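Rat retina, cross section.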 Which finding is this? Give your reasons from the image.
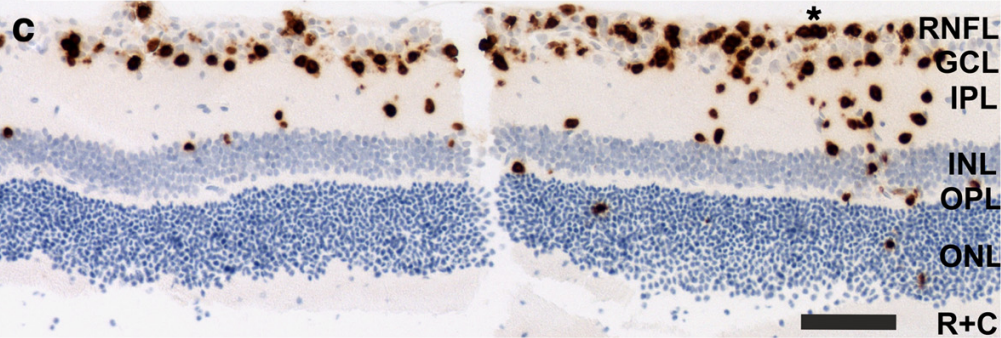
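Brown cells are most numerous in the innermost layers. Fewer brown cells in the inner nuclear layer and only rare ones in the outer nuclear layer. That points to this answer: inside - > outside gradient.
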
